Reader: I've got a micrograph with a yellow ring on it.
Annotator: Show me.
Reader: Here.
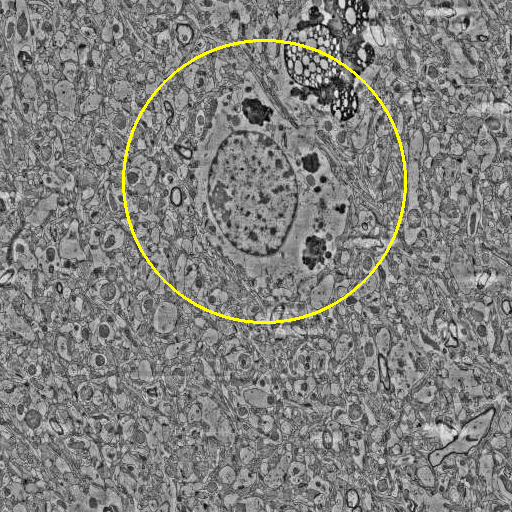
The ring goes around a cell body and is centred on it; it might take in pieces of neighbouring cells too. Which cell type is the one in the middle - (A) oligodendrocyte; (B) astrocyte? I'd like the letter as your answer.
B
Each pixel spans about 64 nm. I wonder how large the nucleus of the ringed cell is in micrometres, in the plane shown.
About 8 by 6 micrometers for the nucleus, in this plane.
